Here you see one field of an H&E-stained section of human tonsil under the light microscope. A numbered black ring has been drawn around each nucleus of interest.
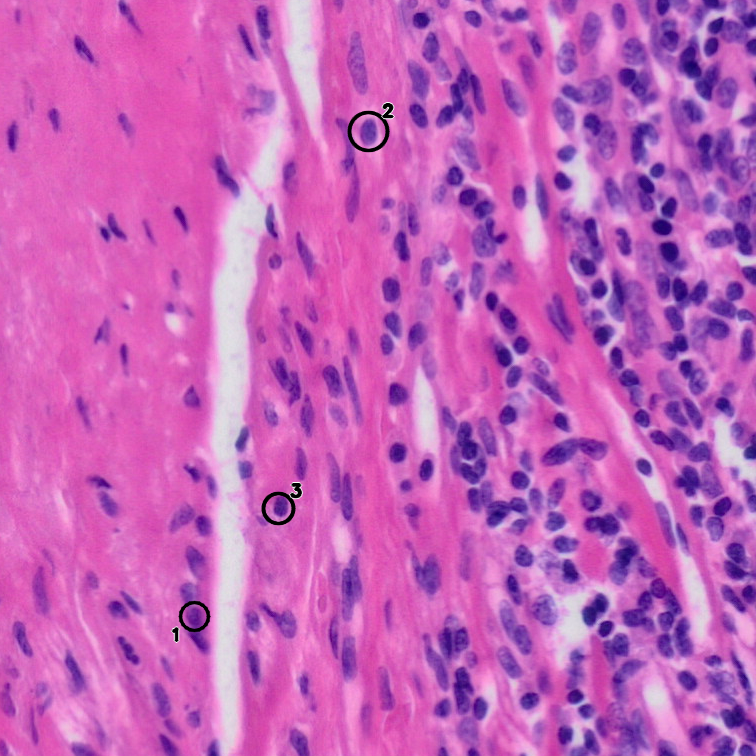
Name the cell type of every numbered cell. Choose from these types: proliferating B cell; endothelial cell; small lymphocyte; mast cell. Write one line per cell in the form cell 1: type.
cell 1: endothelial cell
cell 2: mast cell
cell 3: mast cell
